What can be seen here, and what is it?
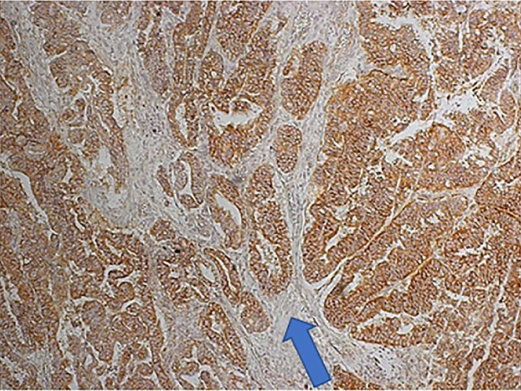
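This adenocarcinoma shows sheets and irregular branching nests of brown-stained cancer cells, with scattered gland-like spaces, divided by narrow bands of pale stroma. Running between them are strands of loose connective tissue whose fibroblasts are slender and spindle-shaped and remain unstained, so the stroma appears light grey. The nests are irregular in size and shape and interconnect, forming a complex pattern typical of an invasive glandular tumour.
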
